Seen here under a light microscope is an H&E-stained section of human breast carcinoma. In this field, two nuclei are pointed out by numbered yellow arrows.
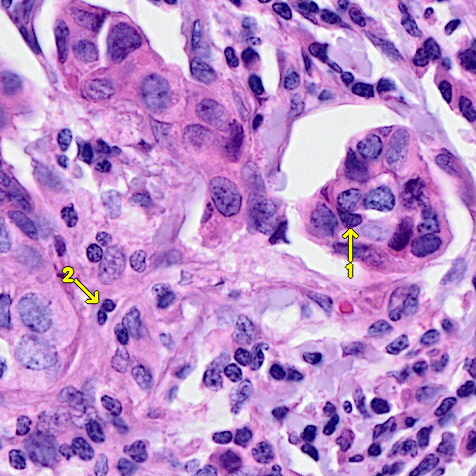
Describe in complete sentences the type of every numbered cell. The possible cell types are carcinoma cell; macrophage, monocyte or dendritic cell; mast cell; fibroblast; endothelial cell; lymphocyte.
Cell 1 is a carcinoma cell. Cell 2 is a lymphocyte.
